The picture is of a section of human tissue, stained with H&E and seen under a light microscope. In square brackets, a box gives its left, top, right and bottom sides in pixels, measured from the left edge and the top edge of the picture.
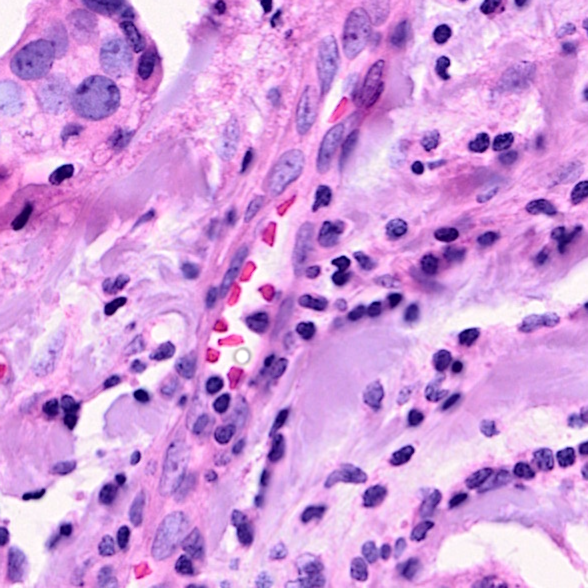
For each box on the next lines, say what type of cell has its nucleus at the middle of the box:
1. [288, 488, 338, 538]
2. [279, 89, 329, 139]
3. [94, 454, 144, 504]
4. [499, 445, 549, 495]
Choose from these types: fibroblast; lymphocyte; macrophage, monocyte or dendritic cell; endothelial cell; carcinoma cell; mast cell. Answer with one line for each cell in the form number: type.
1: lymphocyte
2: endothelial cell
3: lymphocyte
4: lymphocyte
